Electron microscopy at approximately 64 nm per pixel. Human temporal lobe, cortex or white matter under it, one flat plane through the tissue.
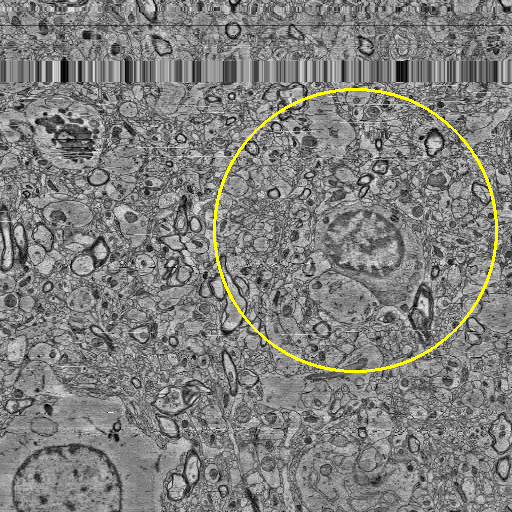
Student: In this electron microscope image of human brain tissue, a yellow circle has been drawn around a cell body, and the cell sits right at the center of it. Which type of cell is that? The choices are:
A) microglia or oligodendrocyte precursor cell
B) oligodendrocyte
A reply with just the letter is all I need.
B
